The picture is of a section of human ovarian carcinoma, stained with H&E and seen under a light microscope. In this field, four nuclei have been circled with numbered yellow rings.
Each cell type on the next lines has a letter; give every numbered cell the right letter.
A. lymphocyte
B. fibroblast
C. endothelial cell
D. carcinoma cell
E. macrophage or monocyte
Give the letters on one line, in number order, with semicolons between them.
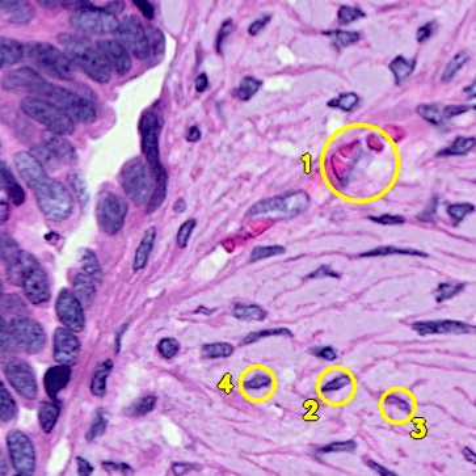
C; B; B; B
